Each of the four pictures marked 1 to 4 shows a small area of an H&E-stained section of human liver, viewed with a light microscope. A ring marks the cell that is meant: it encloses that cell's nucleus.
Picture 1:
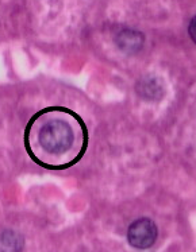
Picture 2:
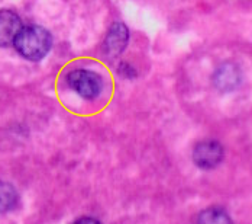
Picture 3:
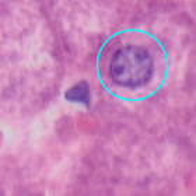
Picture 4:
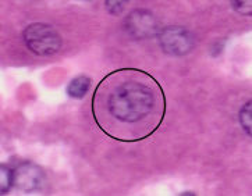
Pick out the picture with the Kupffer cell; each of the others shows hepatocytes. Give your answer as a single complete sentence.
Picture 2 shows the Kupffer cell.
